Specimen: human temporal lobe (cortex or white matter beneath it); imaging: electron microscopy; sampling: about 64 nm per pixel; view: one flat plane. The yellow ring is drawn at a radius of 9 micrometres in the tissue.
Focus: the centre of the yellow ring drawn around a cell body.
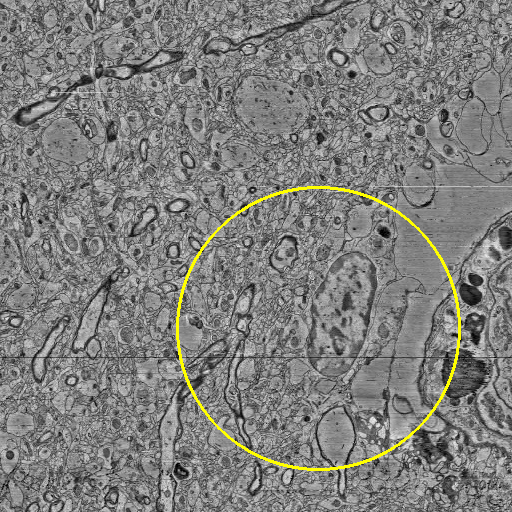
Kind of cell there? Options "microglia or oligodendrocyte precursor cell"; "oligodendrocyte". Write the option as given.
microglia or oligodendrocyte precursor cell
